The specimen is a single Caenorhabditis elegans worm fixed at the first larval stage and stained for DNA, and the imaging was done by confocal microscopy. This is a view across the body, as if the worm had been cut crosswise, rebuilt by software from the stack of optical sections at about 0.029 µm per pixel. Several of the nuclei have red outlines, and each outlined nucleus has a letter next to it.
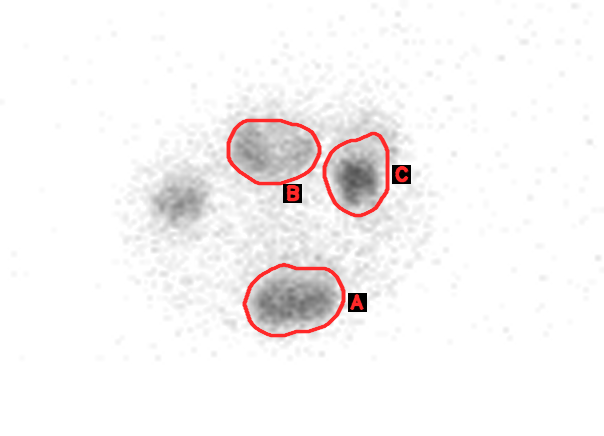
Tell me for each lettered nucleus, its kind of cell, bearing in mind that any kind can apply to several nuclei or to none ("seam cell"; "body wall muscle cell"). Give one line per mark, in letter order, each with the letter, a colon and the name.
A: seam cell
B: seam cell
C: body wall muscle cell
